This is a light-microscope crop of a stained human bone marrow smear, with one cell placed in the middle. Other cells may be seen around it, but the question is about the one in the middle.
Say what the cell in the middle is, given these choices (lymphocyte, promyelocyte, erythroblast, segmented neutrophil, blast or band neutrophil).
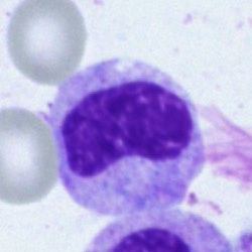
band neutrophil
